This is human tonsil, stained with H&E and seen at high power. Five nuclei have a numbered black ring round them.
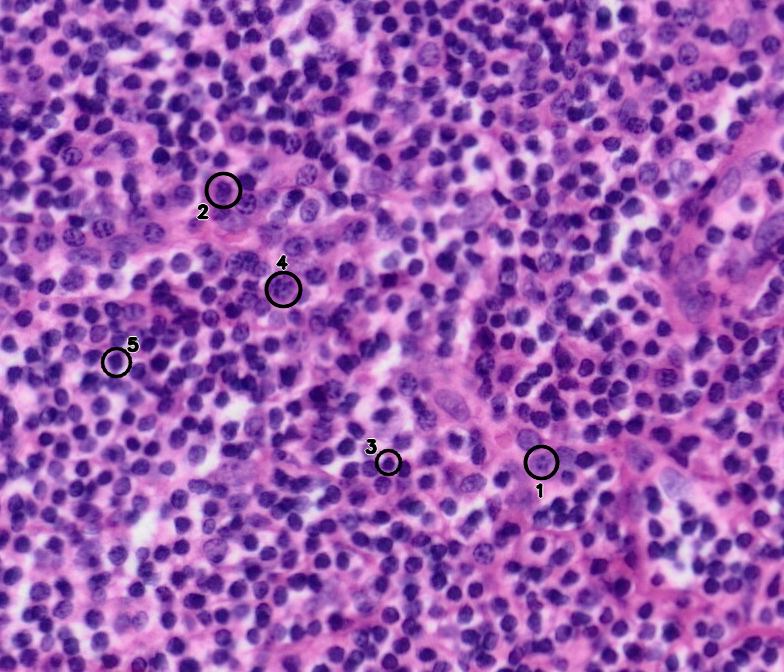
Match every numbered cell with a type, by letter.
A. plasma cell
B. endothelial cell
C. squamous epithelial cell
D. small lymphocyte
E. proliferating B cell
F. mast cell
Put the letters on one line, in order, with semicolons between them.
B; A; D; A; D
